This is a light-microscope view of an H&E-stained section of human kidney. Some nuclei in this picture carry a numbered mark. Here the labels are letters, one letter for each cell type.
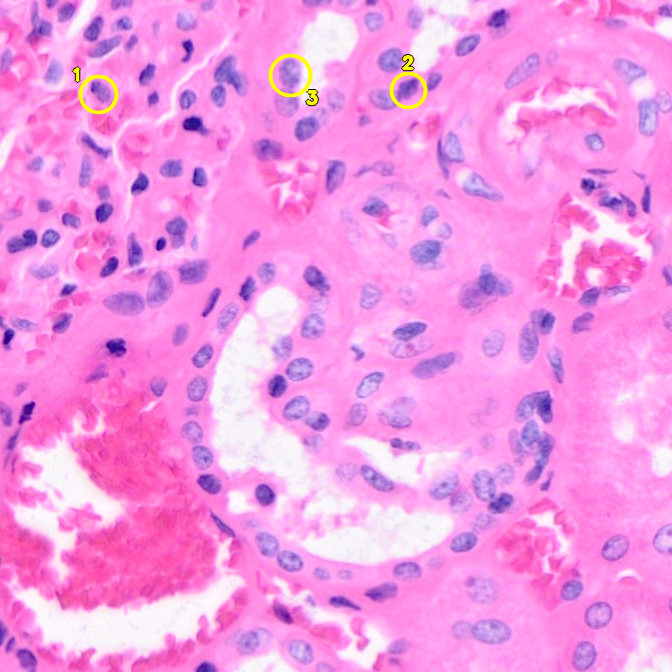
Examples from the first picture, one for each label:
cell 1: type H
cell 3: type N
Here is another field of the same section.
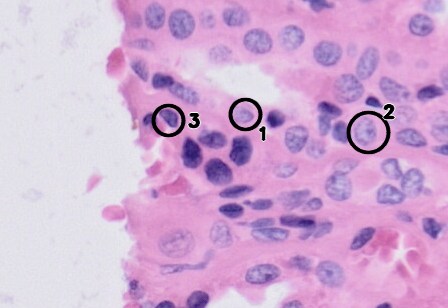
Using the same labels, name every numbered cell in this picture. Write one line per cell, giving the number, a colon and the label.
1: type N
2: type N
3: type H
